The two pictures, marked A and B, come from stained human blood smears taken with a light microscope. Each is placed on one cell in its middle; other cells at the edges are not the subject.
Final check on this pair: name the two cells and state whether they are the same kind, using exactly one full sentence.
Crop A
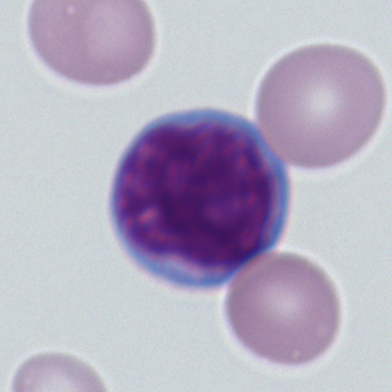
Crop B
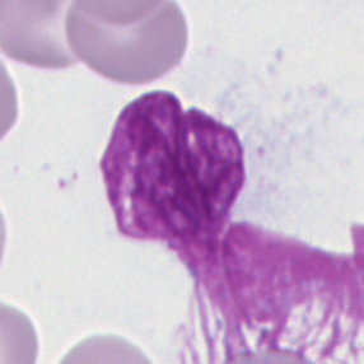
No, a smudge cell is the cell of crop B, while a typical lymphocyte is the cell of crop A.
